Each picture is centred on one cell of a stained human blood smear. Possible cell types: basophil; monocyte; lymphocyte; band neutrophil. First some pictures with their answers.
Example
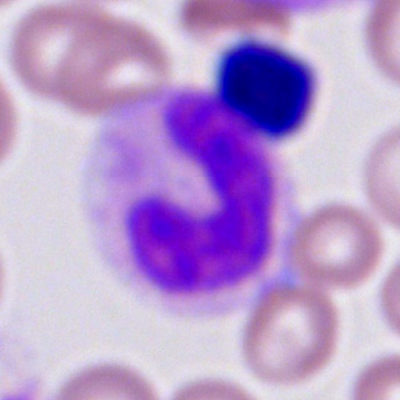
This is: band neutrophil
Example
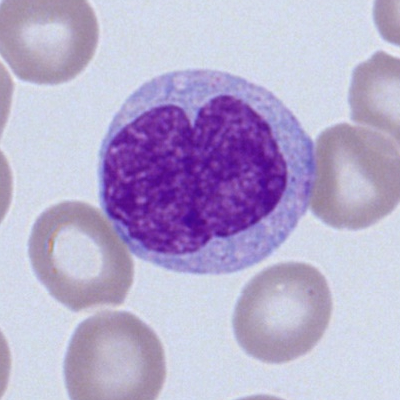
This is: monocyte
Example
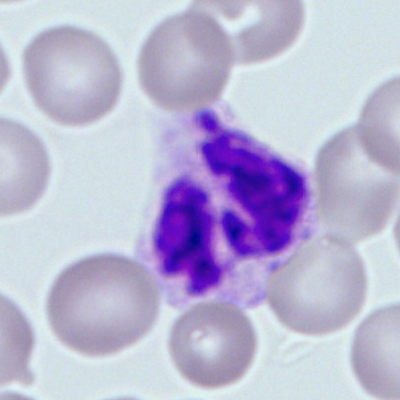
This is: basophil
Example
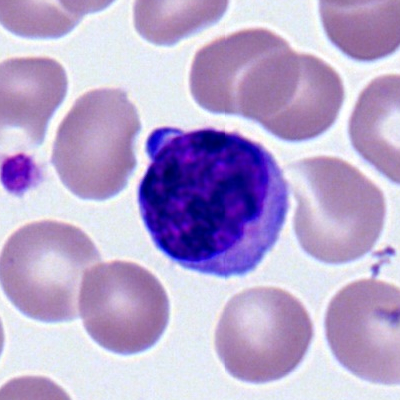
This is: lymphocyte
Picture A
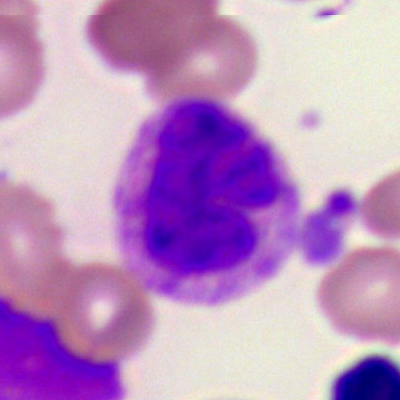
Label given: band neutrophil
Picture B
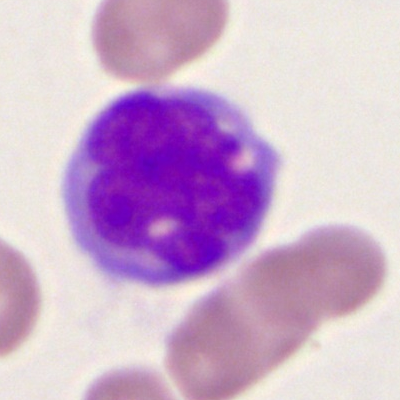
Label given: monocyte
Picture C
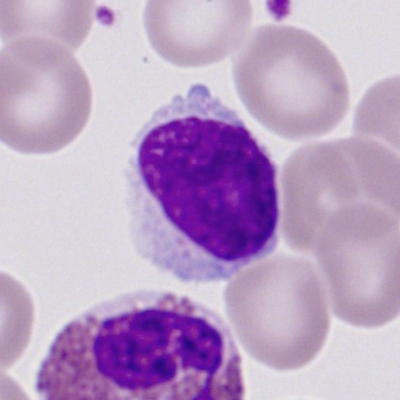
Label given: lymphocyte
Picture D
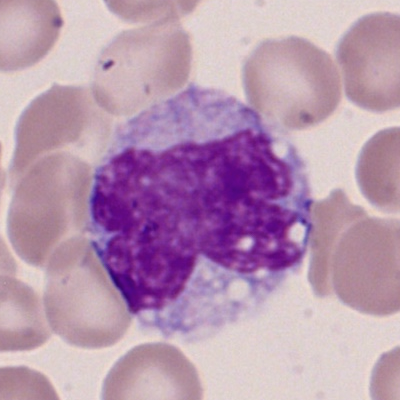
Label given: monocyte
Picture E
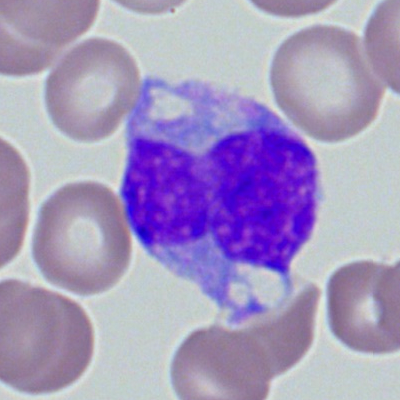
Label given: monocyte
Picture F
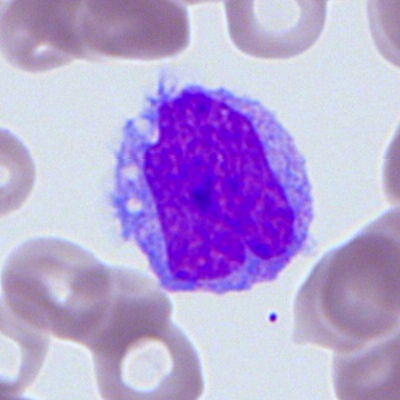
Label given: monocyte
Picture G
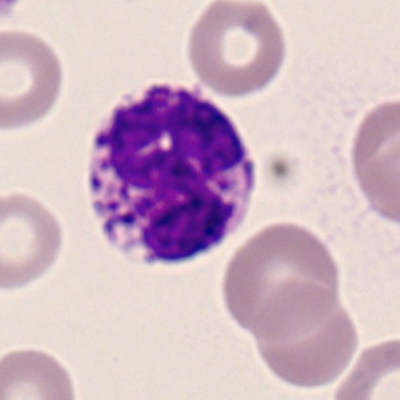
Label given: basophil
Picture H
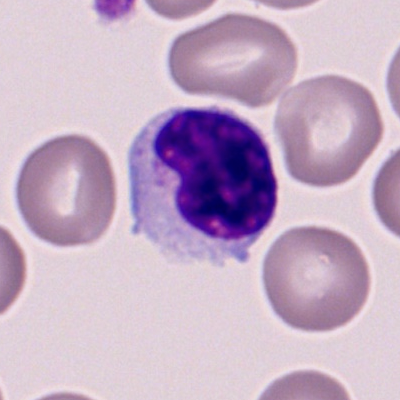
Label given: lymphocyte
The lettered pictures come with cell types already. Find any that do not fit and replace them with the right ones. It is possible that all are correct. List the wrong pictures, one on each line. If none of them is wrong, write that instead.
Nothing to fix; every label fits.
